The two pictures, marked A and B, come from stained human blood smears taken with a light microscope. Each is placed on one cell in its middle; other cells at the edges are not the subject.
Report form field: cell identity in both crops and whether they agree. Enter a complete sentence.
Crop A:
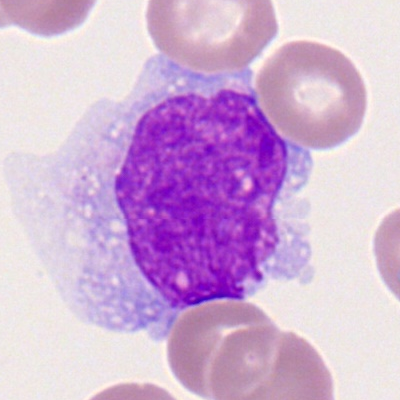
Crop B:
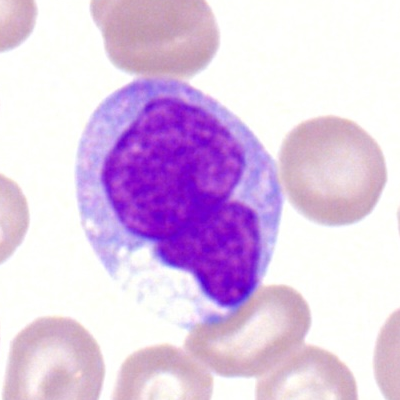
Yes, it is monocytes that occupy the middle of both crops.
